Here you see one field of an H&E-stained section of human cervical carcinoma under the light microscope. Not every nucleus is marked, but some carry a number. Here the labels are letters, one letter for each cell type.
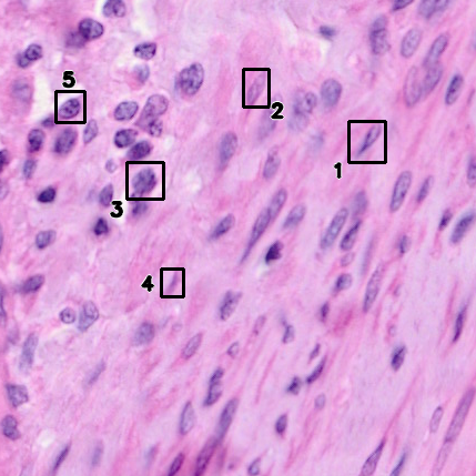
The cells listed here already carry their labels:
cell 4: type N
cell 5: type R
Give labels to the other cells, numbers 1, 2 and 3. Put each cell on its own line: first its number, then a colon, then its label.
1: type N
2: type N
3: type R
